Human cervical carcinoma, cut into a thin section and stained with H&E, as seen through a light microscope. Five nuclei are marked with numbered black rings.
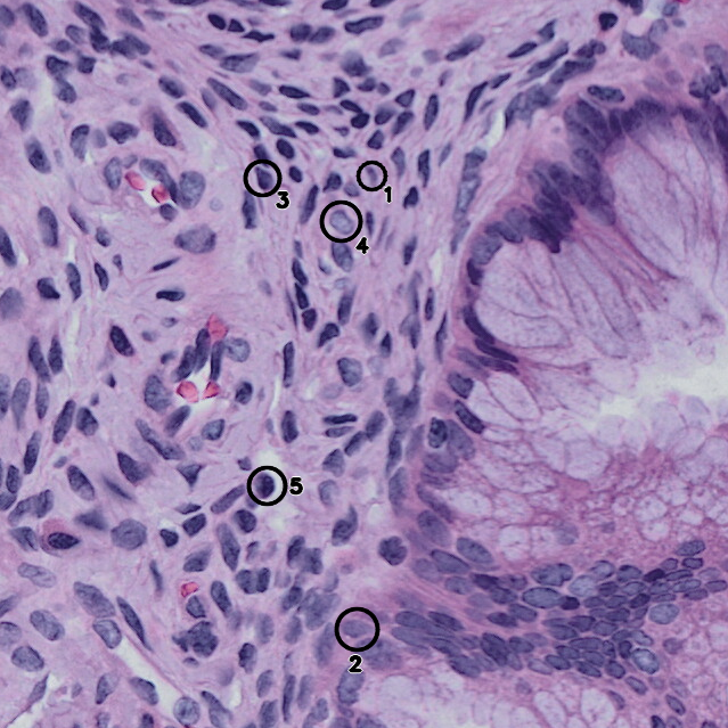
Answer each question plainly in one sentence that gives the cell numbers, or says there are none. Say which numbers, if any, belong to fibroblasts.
The cells marked 1 and 3 in the section are fibroblasts.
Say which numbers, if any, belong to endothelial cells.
Of the numbered cells, only cell 4 is an endothelial cell.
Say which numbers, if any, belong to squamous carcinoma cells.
Not one of the numbered cells belongs among the squamous carcinoma cells.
